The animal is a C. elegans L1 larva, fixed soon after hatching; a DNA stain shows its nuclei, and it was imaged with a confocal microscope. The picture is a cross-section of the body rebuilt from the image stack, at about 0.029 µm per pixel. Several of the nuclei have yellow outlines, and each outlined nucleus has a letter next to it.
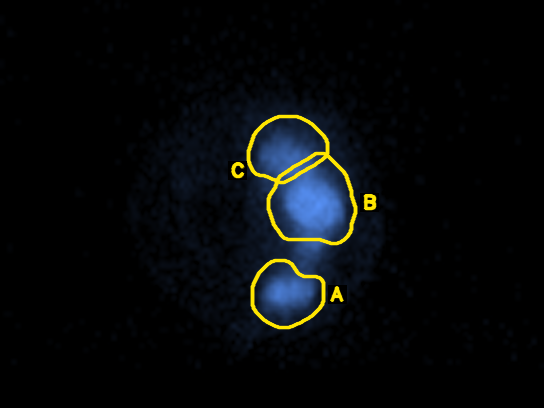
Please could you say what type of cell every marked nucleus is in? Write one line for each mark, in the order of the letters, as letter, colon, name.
A: P cell (ventral epidermal blast cell)
B: neuron
C: P cell (ventral epidermal blast cell)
